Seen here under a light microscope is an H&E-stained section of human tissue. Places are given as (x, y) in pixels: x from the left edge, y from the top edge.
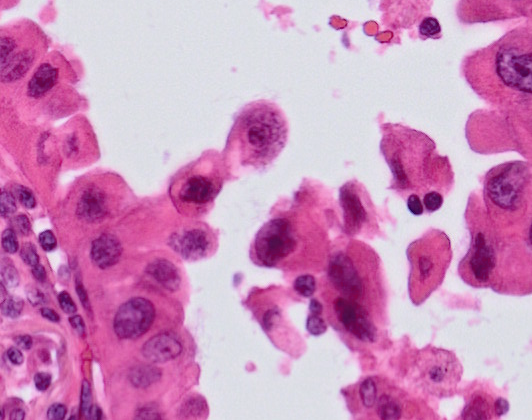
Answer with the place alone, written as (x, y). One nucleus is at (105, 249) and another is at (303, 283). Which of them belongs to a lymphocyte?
(303, 283)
